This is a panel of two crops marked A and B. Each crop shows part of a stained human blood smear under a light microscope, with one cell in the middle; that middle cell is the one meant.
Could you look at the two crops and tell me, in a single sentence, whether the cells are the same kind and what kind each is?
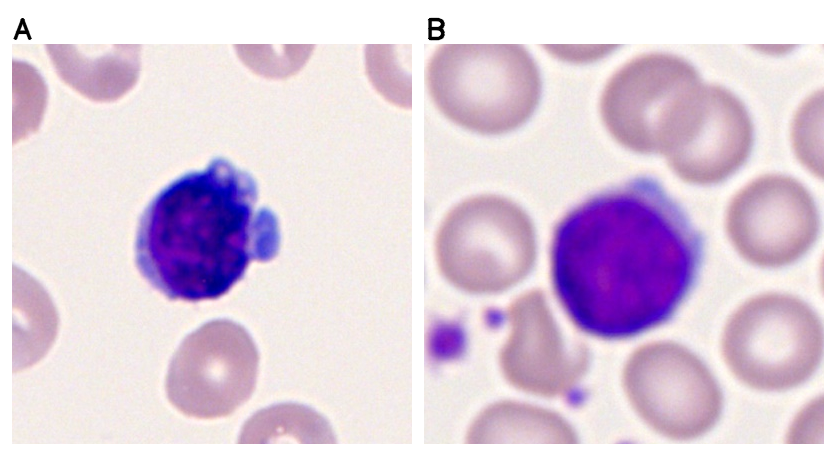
Yes, the cells found in the middle of both crops are lymphocytes.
